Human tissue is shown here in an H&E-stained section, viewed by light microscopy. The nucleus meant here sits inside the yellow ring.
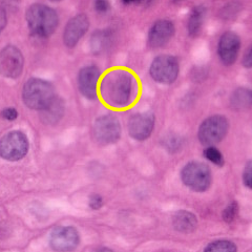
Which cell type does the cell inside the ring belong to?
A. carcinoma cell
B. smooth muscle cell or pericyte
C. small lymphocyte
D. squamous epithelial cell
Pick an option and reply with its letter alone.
D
